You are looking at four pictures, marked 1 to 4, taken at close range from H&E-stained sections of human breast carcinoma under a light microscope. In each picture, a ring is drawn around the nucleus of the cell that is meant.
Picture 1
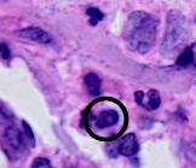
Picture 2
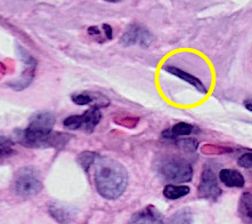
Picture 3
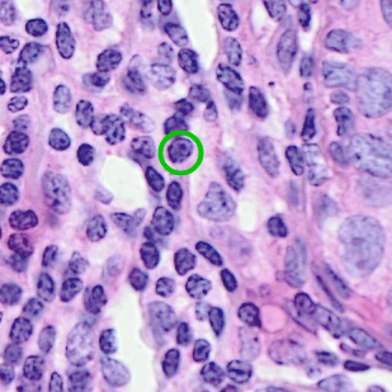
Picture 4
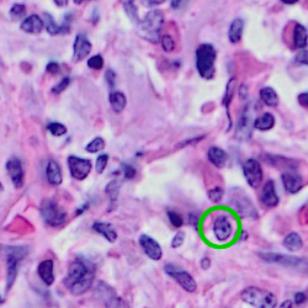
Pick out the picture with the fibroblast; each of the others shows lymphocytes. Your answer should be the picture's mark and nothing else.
2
